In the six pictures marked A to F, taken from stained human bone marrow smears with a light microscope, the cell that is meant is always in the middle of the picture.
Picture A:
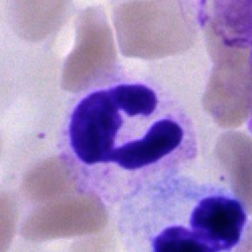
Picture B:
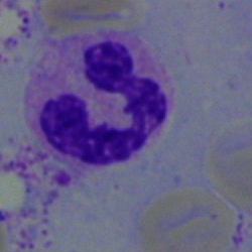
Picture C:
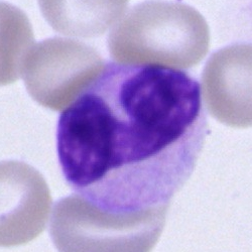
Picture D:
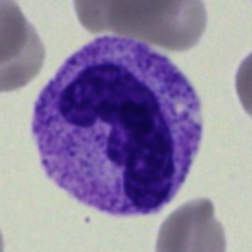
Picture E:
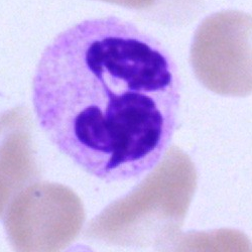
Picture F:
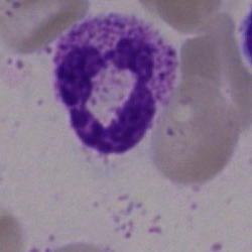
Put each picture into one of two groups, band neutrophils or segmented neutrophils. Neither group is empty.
A: segmented neutrophil
B: segmented neutrophil
C: band neutrophil
D: band neutrophil
E: segmented neutrophil
F: segmented neutrophil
